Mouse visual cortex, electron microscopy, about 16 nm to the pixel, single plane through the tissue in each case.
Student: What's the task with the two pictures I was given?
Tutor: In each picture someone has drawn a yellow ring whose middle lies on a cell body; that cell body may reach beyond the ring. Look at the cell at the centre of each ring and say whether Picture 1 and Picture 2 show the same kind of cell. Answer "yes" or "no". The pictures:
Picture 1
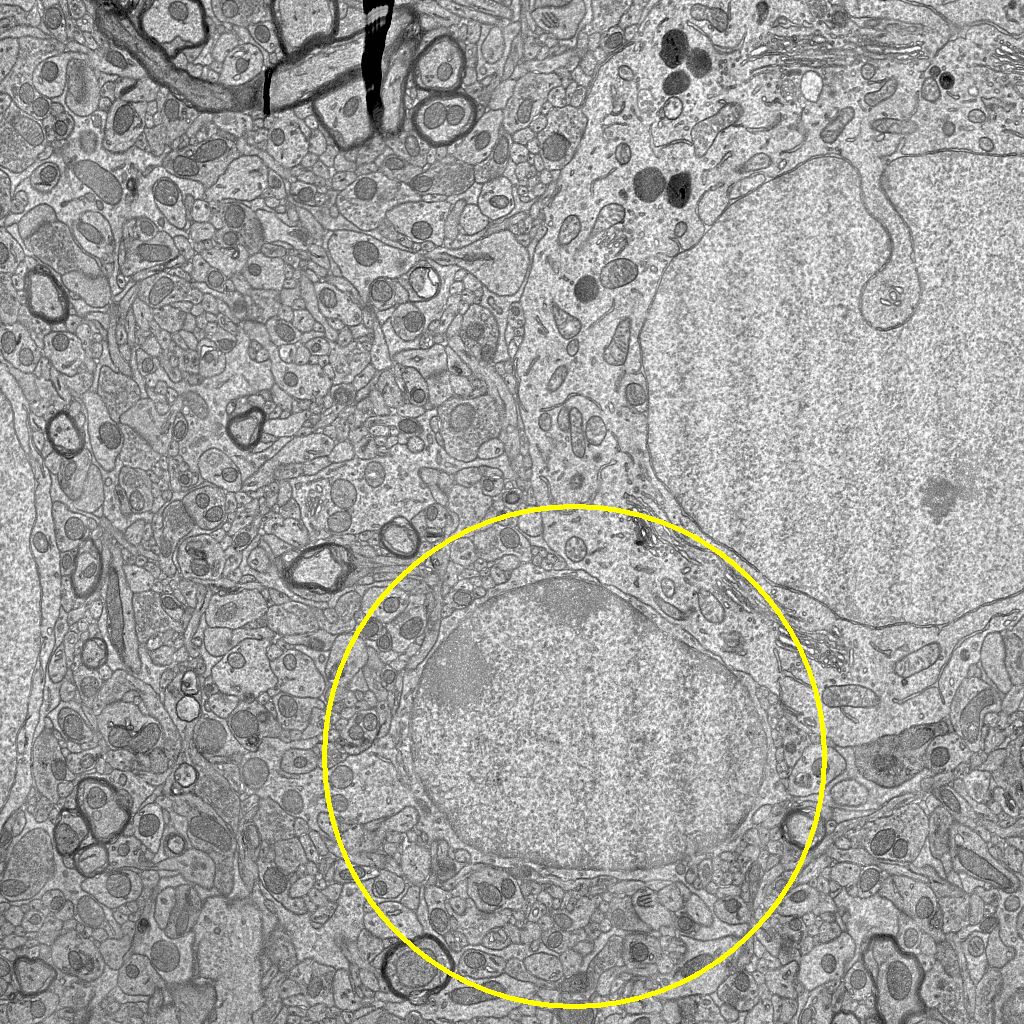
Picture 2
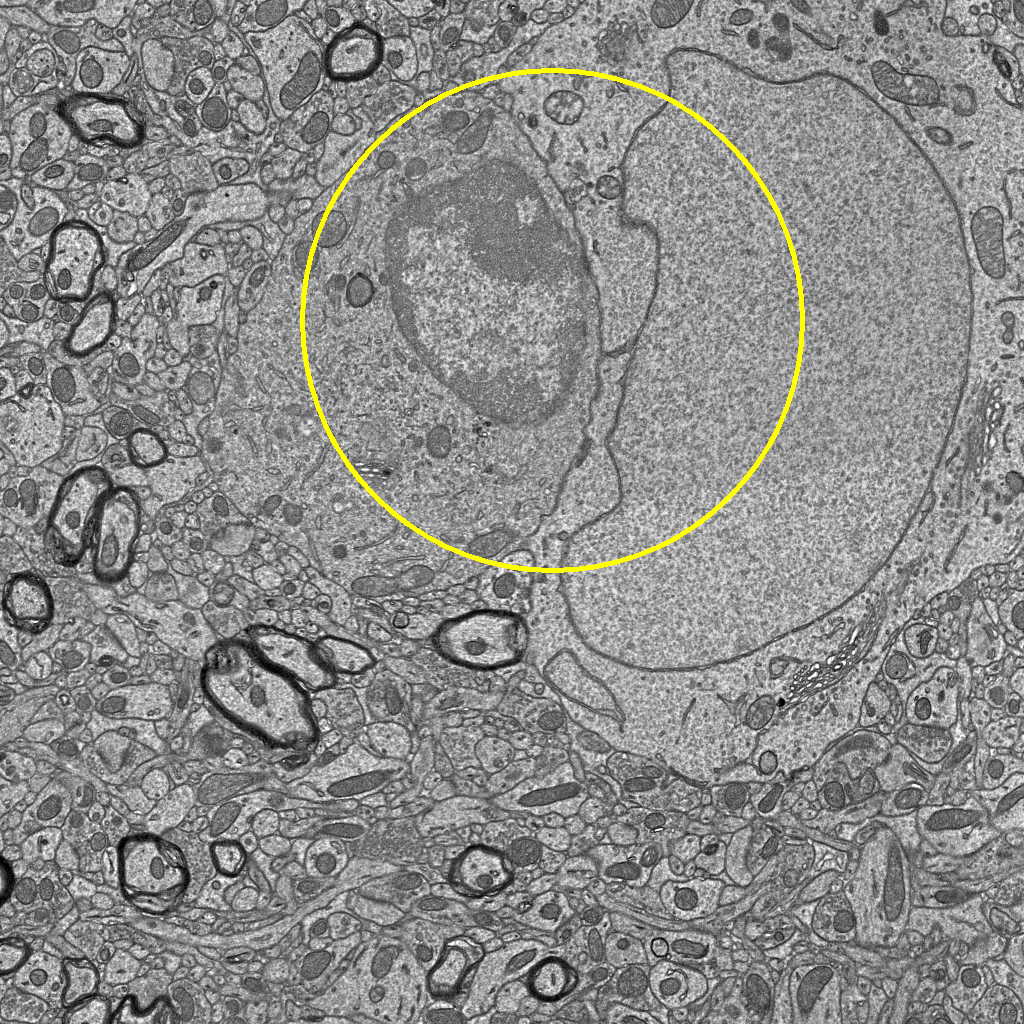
no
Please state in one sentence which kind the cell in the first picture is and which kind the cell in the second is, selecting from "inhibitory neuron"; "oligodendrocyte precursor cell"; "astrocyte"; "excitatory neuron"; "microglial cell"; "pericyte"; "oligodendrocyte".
The first ring marks an astrocyte, and the second ring marks an oligodendrocyte.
